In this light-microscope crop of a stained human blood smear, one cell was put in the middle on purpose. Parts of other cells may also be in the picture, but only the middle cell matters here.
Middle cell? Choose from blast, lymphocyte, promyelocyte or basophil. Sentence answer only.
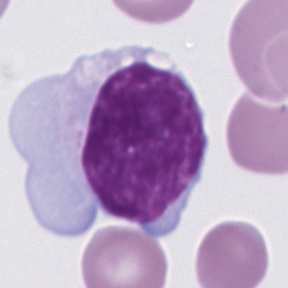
The cell positioned in the middle of the field is a blast.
